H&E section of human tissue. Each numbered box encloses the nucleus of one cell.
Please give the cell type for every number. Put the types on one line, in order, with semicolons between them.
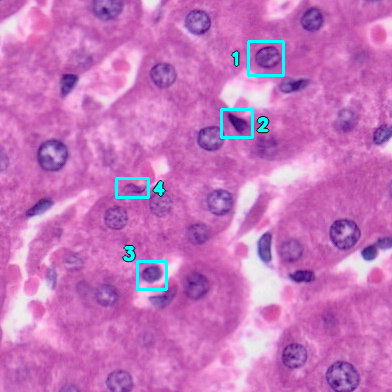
hepatocyte; fibroblast or stellate cell; lymphocyte; endothelial cell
